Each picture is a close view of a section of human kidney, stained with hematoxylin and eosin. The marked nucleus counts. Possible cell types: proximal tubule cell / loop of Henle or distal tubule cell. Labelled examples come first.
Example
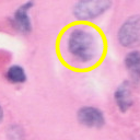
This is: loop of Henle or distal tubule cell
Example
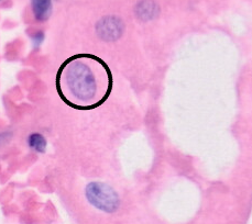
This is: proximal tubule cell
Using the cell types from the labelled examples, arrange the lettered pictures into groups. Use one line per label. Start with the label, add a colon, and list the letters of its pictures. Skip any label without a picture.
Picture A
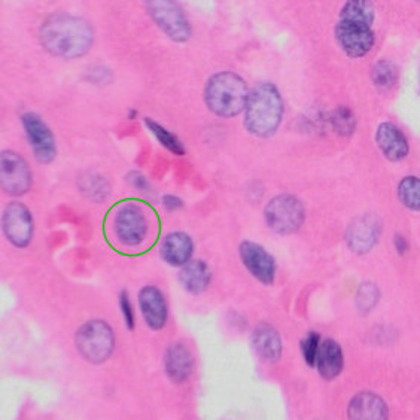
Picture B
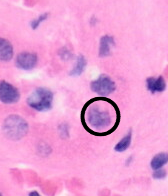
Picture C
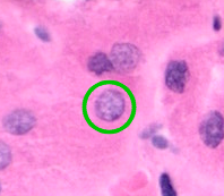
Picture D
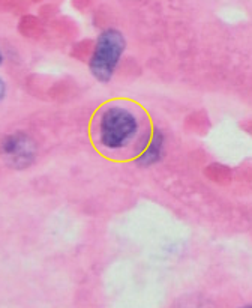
proximal tubule cell: C, D
loop of Henle or distal tubule cell: A, B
